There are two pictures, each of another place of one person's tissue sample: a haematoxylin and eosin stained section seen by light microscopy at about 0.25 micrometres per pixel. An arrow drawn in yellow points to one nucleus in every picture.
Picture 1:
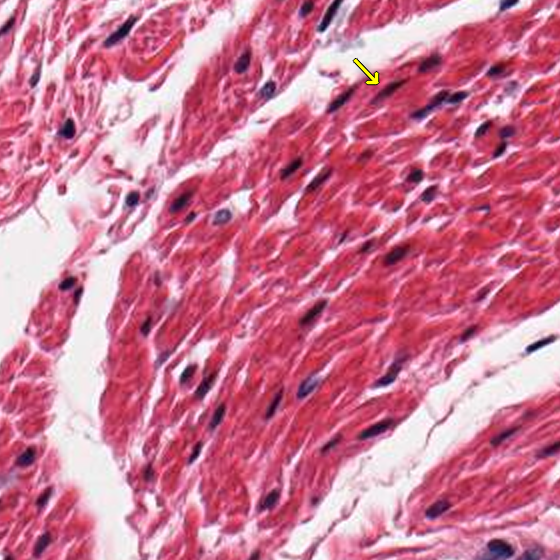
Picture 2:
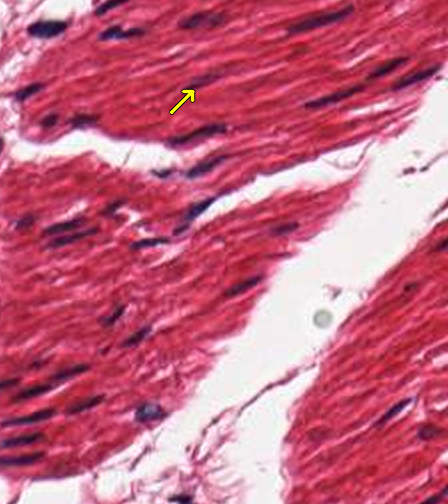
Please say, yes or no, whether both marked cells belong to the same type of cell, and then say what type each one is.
Yes, both are smooth muscle cells.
